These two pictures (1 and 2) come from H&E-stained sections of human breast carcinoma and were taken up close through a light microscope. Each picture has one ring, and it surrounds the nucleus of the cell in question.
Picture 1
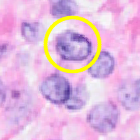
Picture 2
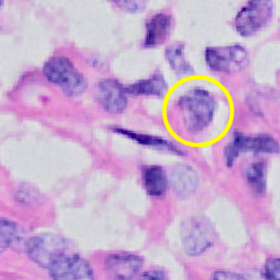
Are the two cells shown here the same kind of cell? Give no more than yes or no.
yes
